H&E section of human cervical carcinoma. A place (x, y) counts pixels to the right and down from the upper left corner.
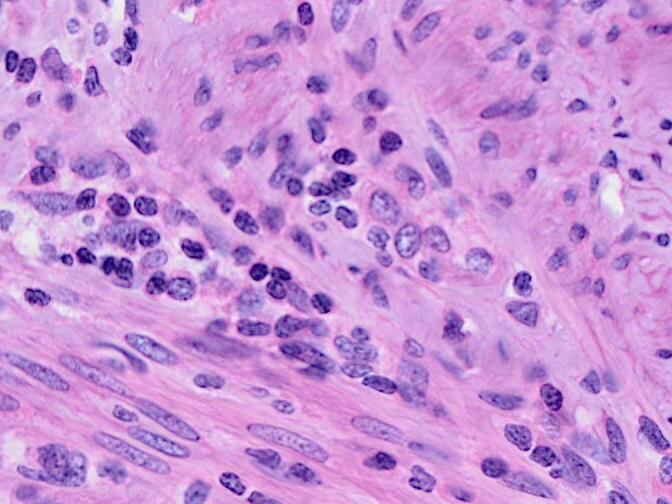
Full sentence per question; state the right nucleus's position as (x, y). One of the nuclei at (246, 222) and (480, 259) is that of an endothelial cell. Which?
The nucleus found at (480, 259) belongs to an endothelial cell.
